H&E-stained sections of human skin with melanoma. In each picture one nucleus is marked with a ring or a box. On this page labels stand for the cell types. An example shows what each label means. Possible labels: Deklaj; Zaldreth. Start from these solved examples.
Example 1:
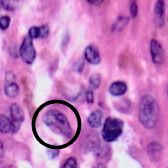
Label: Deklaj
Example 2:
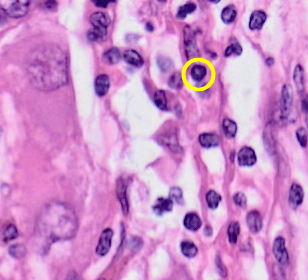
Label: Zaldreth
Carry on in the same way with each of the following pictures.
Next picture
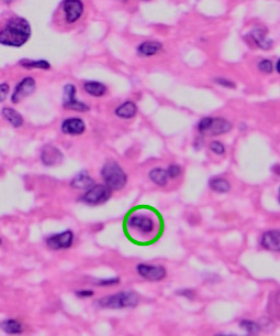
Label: Deklaj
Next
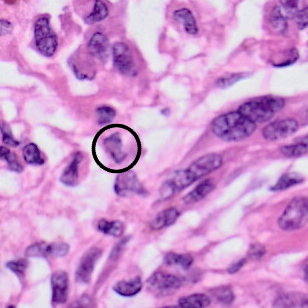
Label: Deklaj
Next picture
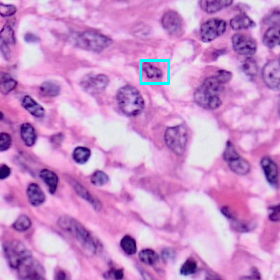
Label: Deklaj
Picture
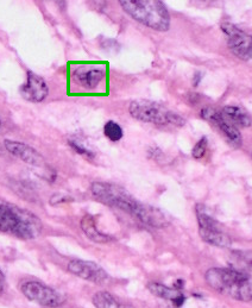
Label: Deklaj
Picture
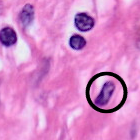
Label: Zaldreth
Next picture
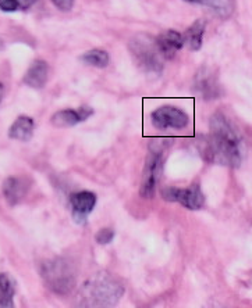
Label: Zaldreth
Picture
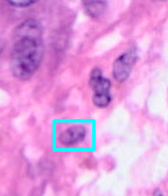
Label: Deklaj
